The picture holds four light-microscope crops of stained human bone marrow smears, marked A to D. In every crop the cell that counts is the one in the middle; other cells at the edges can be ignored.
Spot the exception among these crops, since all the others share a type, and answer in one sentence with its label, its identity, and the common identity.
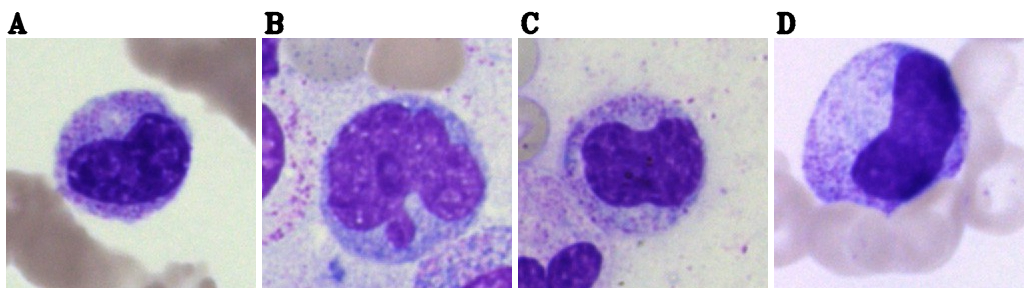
Crop B is the outlier, with a monocyte against metamyelocytes in the rest.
